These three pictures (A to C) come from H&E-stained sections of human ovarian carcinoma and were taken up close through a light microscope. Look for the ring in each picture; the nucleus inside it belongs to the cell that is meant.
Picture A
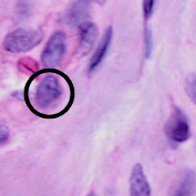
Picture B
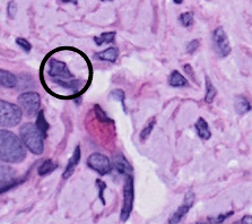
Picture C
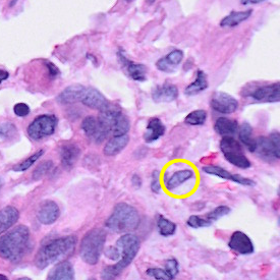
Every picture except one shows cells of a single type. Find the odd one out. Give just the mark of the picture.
A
